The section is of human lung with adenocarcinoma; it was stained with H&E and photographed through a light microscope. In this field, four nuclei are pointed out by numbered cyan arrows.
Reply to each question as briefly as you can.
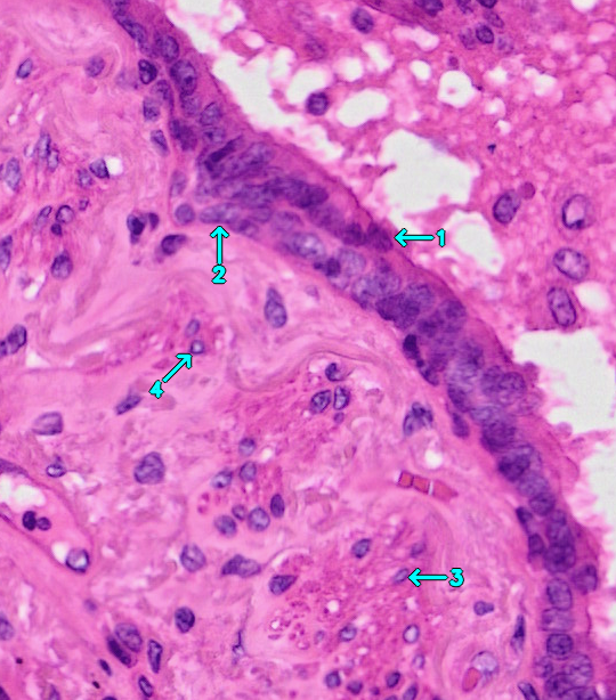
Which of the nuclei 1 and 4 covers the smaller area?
4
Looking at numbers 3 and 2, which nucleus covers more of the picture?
2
